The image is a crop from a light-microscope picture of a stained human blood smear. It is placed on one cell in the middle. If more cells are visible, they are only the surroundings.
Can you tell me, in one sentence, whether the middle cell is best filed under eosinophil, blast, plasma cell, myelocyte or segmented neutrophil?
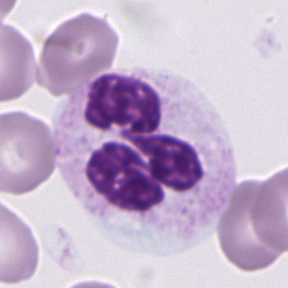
The cell featured at the centre of this crop is a segmented neutrophil.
